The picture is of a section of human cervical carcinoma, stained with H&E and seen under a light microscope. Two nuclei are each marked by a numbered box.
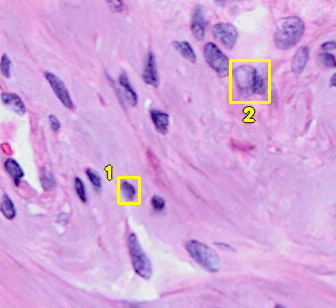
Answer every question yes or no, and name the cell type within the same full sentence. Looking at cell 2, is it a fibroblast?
No, at number 2 sits an endothelial cell, not a fibroblast.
